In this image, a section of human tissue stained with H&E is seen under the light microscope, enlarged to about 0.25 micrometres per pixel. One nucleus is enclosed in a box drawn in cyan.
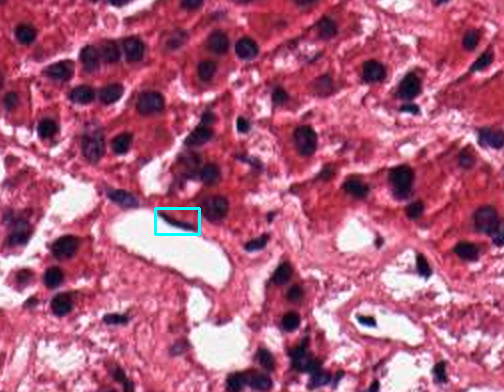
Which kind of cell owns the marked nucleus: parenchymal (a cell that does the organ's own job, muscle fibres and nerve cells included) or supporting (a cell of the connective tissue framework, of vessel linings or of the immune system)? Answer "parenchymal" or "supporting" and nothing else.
supporting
